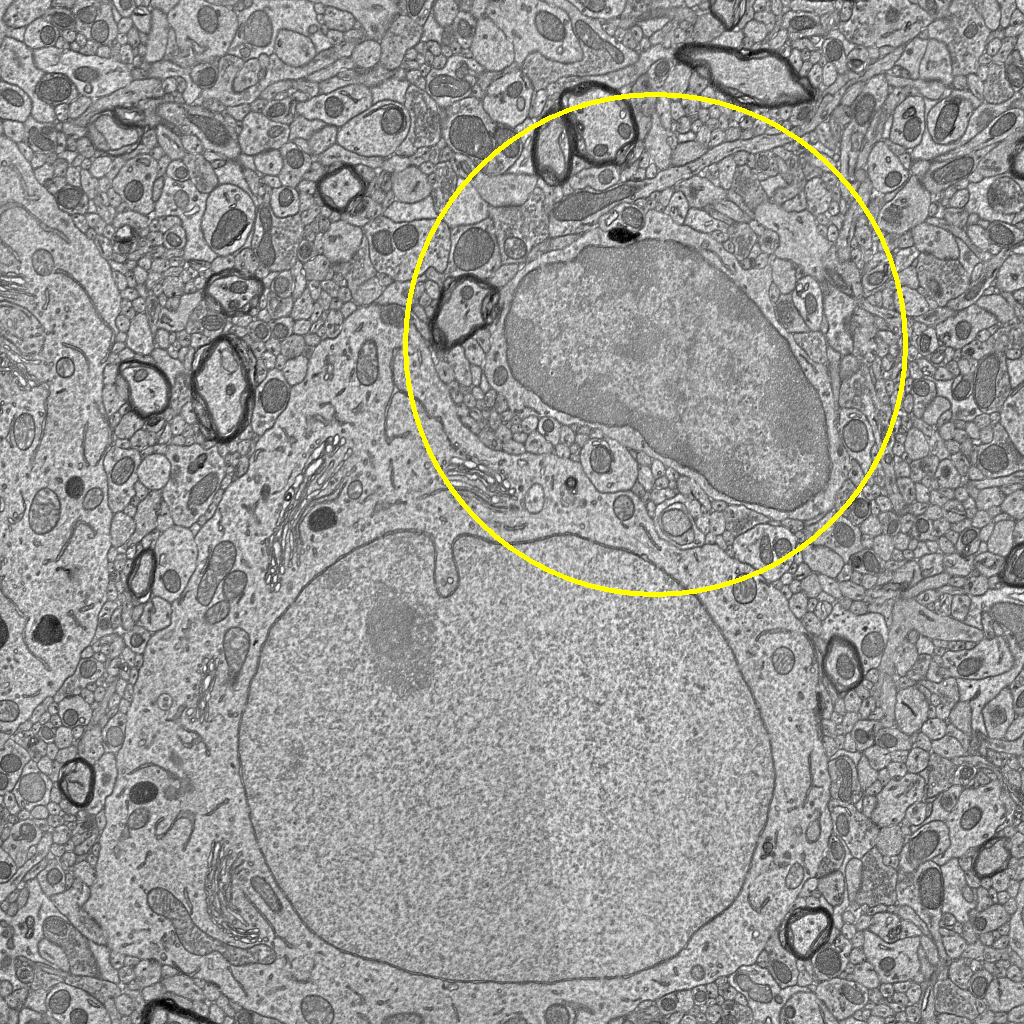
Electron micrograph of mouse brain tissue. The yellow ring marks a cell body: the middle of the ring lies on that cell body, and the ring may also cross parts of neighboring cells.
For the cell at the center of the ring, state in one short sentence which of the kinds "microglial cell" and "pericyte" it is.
This ring's center lies on a microglial cell.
